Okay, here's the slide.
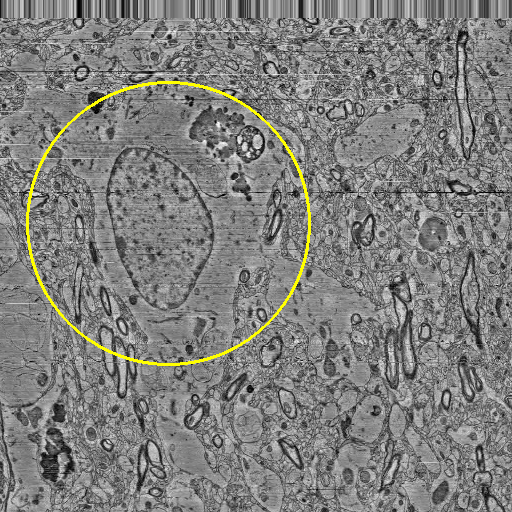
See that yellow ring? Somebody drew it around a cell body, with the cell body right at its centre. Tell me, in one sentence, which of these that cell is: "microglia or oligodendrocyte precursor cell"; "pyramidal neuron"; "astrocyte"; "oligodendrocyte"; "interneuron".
The cell in the middle of the ring is an astrocyte.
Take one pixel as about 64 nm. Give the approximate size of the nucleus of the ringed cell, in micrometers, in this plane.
In this plane the nucleus is roughly 11 by 6 micrometres, clearly longer than it is wide.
